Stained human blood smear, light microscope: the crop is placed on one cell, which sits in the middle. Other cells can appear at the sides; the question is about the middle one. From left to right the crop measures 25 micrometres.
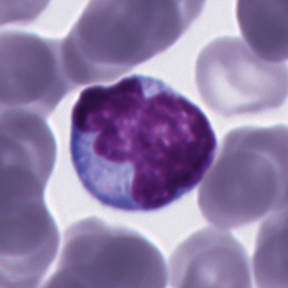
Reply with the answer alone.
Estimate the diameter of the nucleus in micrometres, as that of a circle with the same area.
10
